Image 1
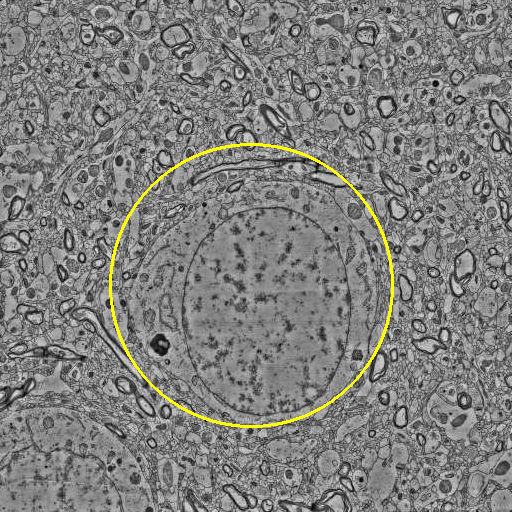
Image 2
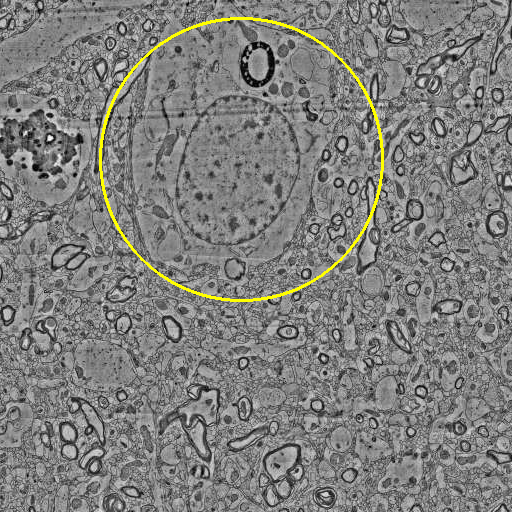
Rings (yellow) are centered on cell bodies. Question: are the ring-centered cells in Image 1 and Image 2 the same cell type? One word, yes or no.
no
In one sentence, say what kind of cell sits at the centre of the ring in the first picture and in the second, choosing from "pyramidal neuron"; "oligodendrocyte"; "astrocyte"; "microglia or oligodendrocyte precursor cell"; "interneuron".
The first picture's ringed cell is a pyramidal neuron, while the second picture's is an astrocyte.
